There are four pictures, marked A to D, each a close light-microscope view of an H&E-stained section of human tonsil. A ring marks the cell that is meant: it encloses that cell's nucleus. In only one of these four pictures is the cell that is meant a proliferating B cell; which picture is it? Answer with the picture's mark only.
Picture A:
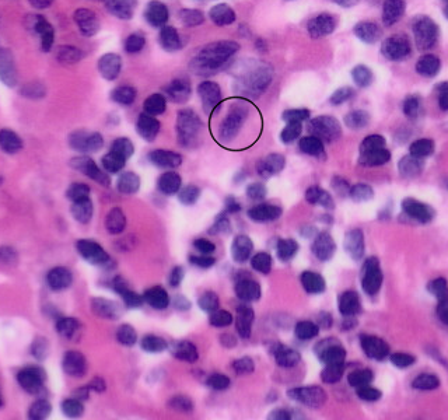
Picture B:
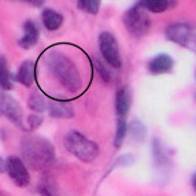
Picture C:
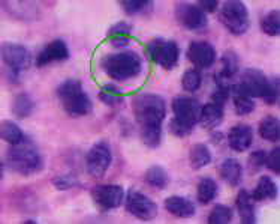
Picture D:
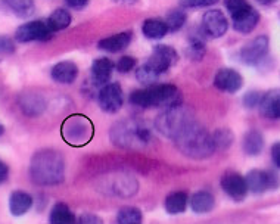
C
